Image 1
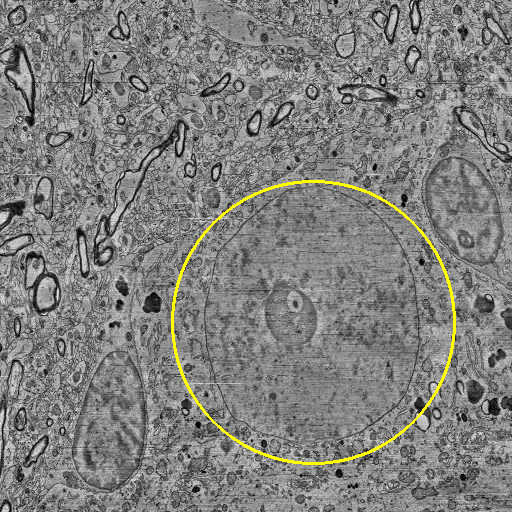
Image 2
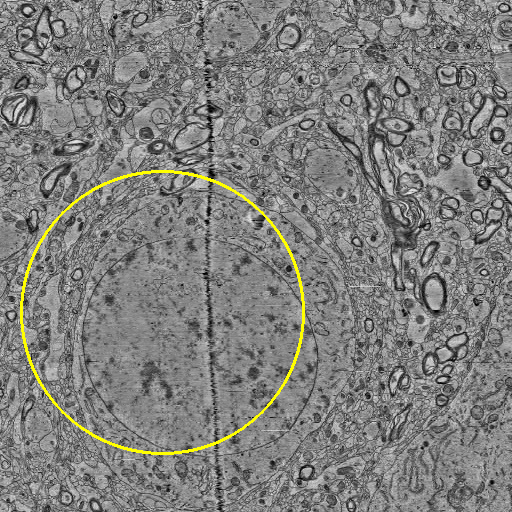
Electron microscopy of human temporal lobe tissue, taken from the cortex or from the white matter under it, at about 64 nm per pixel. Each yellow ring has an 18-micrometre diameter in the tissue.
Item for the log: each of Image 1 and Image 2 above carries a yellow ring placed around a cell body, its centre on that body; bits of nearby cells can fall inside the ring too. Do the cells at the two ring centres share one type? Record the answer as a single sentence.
Yes, the two cells at the ring centres in Image 1 and Image 2 share one type.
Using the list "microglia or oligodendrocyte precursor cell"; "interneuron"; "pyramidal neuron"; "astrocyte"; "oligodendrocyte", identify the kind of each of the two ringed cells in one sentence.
Each of the two pictures has a pyramidal neuron at the ring centre.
